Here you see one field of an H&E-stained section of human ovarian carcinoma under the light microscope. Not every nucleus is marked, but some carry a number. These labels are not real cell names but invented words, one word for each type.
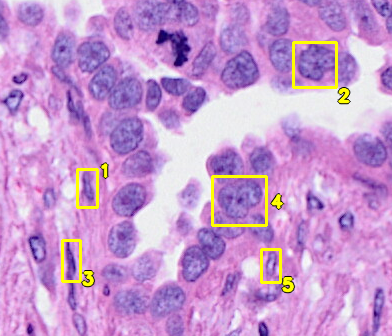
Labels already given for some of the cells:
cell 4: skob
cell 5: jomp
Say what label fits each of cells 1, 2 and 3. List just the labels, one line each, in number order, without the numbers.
jomp
skob
jomp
